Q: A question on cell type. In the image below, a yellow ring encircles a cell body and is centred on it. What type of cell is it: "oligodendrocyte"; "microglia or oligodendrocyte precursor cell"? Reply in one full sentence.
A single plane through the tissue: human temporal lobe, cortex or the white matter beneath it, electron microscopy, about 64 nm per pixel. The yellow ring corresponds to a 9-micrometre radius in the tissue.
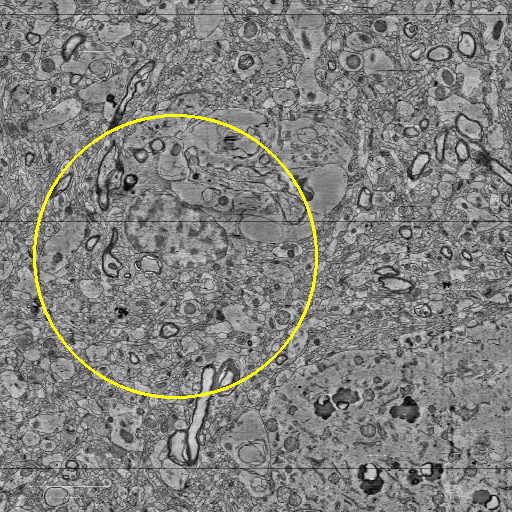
It is an oligodendrocyte whose cell body sits at the centre of the yellow ring in the image.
